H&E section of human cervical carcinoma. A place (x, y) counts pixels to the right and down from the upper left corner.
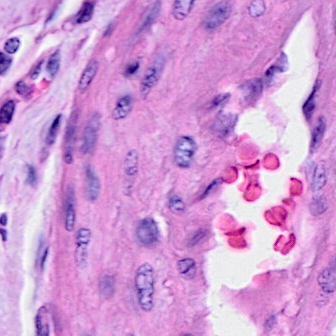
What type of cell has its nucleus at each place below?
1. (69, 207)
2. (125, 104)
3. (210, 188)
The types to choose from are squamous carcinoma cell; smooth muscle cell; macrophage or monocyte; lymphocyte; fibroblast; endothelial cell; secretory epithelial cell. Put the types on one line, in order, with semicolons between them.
smooth muscle cell; smooth muscle cell; endothelial cell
